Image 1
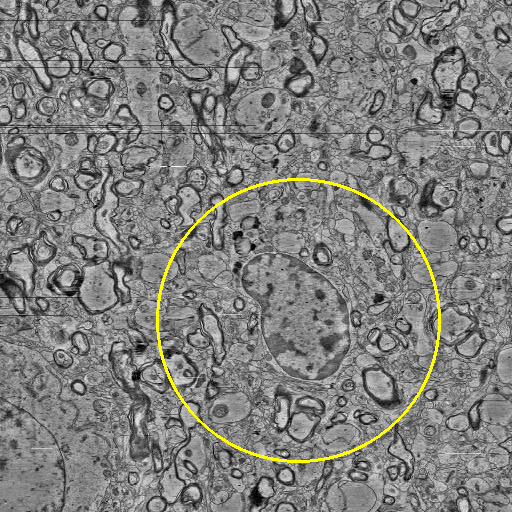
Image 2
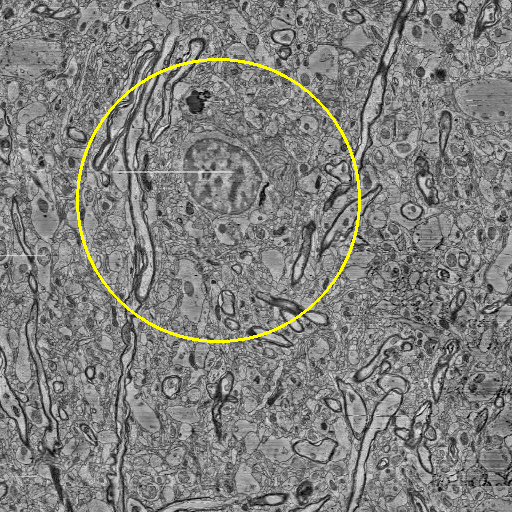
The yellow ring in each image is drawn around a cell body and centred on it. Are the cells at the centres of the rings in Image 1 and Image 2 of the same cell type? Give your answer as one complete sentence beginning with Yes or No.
No, the two cells are of two separate types.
